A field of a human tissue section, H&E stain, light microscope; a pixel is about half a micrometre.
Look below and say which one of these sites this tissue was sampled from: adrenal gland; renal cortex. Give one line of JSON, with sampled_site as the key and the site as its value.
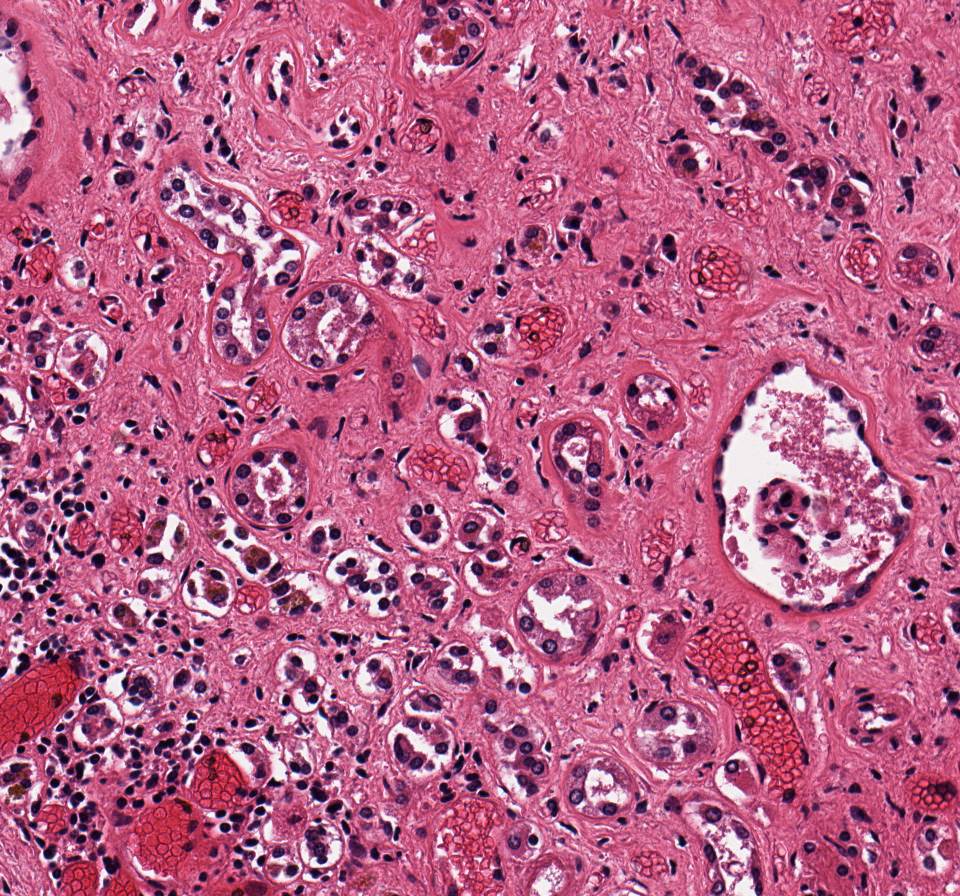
{"sampled_site": "renal cortex"}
